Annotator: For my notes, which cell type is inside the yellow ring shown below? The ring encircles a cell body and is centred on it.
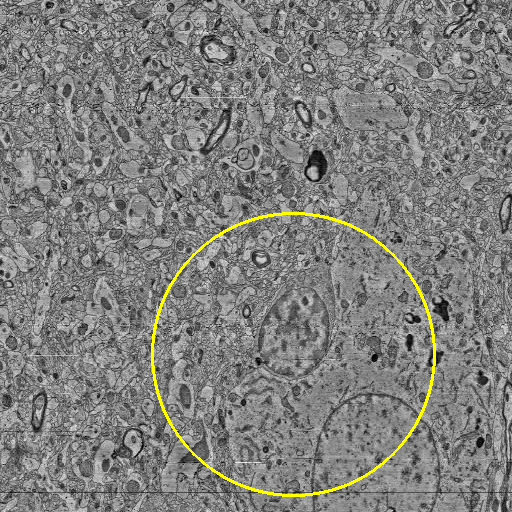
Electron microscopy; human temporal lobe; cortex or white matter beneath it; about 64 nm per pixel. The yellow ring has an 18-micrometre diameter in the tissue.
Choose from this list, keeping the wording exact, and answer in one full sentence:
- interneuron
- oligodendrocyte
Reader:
At the centre of the yellow ring there is an oligodendrocyte, as shown in the picture.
